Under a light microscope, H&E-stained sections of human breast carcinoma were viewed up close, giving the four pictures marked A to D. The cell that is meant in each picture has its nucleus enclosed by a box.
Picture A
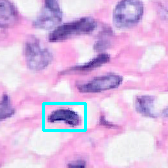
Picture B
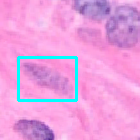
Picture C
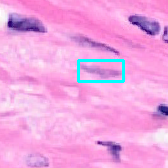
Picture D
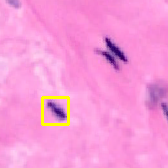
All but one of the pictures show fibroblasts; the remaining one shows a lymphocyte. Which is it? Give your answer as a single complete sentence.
It is picture A that shows the lymphocyte.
